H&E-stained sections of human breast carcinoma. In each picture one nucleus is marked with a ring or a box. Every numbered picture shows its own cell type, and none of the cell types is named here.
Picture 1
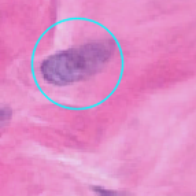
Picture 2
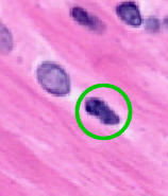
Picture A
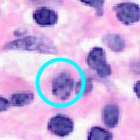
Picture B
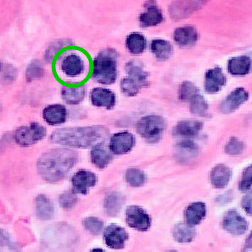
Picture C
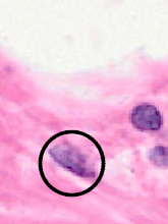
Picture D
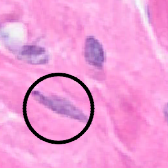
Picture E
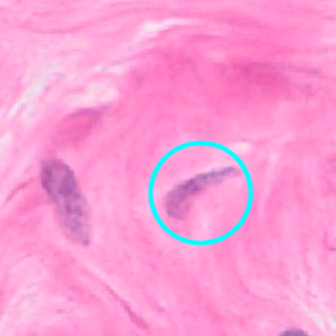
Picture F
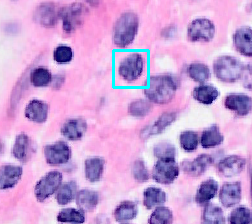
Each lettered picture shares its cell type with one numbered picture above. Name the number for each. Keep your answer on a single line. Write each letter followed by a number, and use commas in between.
A 2, B 2, C 1, D 1, E 1, F 2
